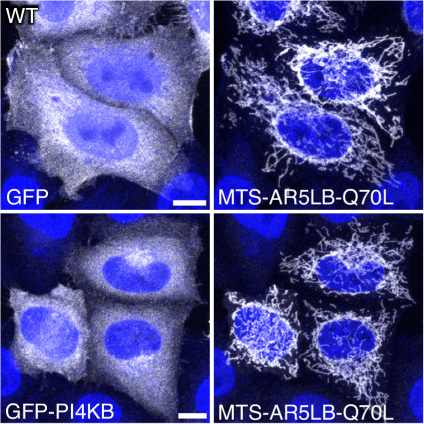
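Cultured epithelial-like cells are shown in pairs of images, each with large oval blue nuclei. In the right-hand images of the same cells the signal is confined to a dense network of thin, branched tubular mitochondria spread through the cytoplasm around the nuclei. The diffuse pattern on the left does not follow the mitochondrial threads on the right.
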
